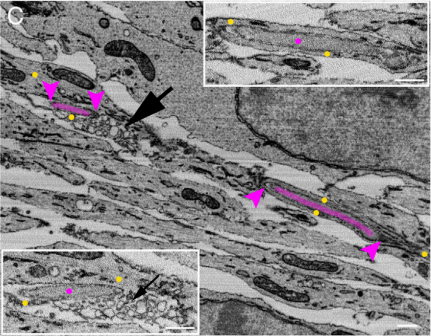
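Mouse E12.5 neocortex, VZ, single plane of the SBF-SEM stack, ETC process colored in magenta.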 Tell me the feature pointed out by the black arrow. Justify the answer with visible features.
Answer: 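The large black arrow points at a group of small round membrane-bound profiles. They lie right beside the thin magenta-traced process.
Answer: cluster of loosely packed vesicles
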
